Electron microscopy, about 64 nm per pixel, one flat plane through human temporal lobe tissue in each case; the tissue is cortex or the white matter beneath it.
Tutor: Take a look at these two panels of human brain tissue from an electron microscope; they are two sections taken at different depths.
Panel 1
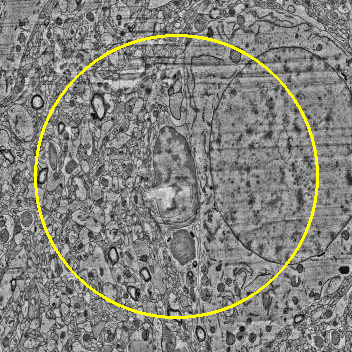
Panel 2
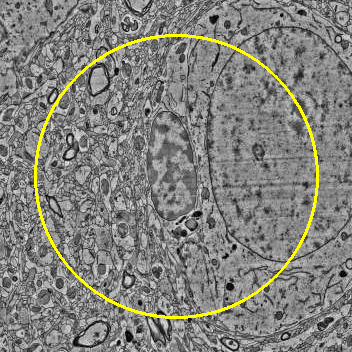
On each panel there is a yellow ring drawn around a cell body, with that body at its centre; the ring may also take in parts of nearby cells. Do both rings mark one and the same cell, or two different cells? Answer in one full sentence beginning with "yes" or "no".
Yes, the same individual cell is enclosed by both rings.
